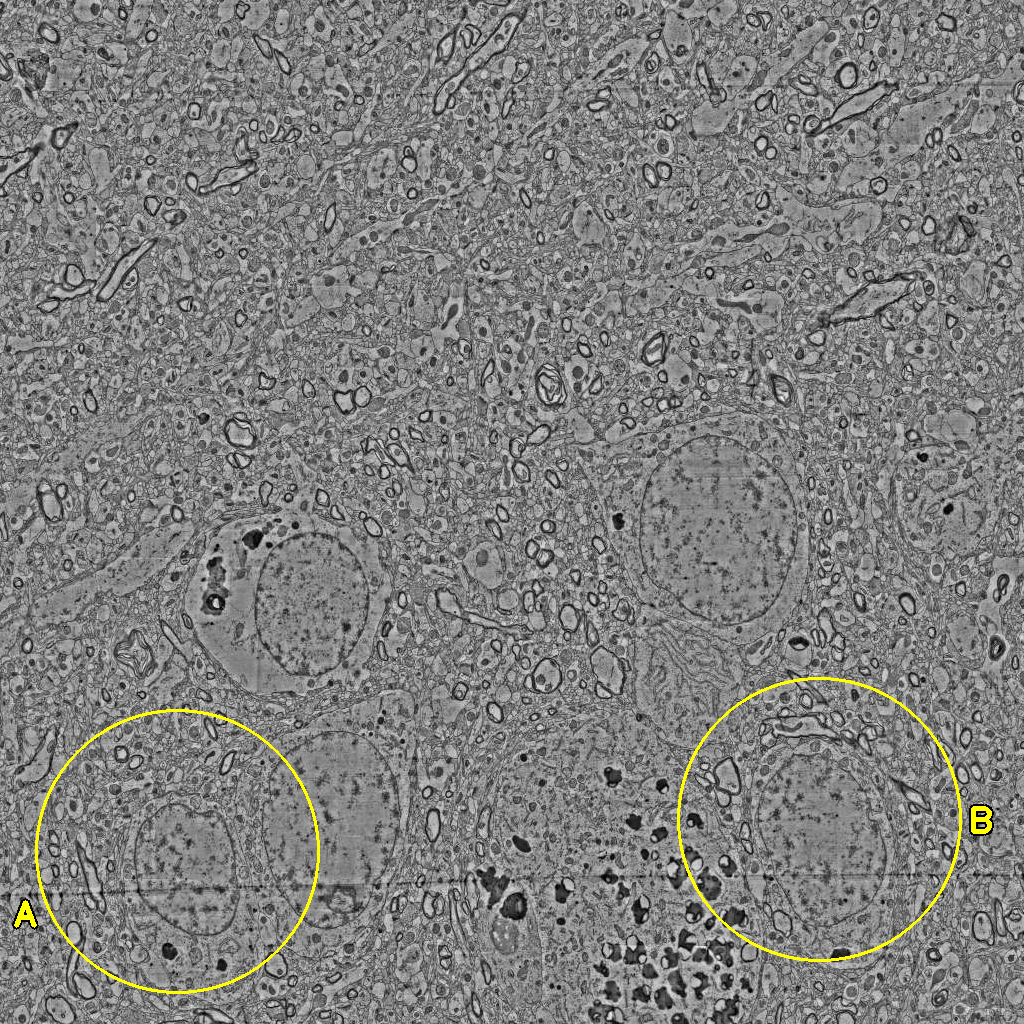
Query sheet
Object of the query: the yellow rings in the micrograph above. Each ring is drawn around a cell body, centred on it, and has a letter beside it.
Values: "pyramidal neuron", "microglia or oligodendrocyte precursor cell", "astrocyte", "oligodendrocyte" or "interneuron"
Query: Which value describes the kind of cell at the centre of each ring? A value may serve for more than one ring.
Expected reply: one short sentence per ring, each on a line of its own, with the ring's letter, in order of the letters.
I assign a pyramidal neuron to ring A.
I assign a pyramidal neuron to ring B.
